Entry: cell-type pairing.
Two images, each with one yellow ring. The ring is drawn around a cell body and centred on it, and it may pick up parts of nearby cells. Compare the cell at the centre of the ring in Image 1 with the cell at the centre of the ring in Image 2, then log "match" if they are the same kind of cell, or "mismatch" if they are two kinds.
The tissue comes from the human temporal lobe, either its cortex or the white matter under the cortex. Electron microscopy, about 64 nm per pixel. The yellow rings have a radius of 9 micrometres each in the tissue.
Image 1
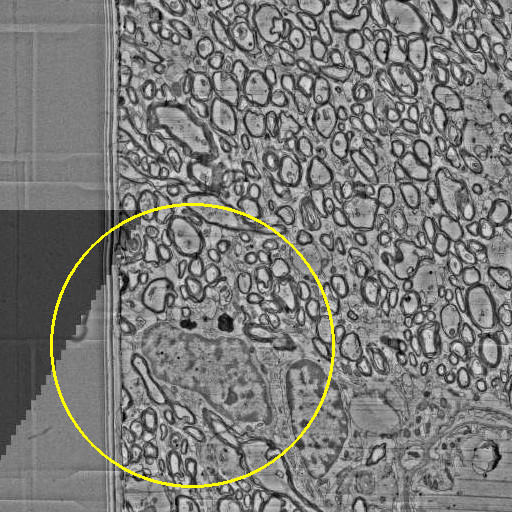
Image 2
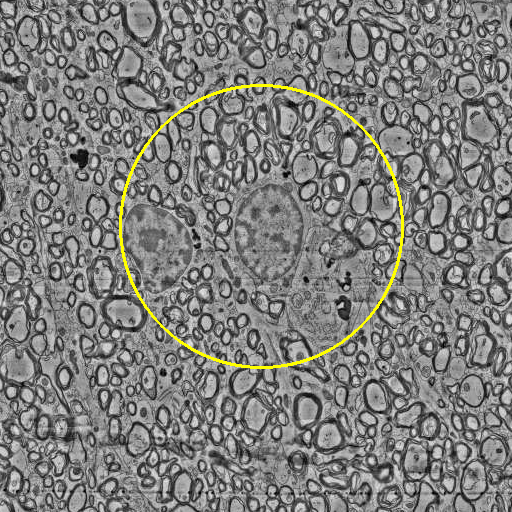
match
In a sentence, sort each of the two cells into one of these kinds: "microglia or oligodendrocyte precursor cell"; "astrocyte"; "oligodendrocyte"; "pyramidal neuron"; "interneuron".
Each of the two rings is centred on an oligodendrocyte.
